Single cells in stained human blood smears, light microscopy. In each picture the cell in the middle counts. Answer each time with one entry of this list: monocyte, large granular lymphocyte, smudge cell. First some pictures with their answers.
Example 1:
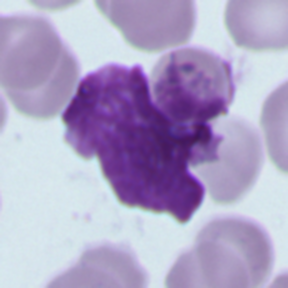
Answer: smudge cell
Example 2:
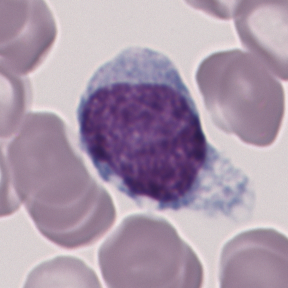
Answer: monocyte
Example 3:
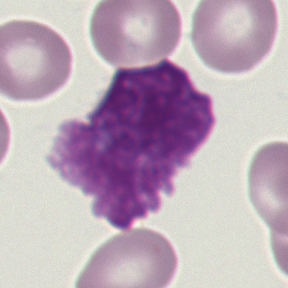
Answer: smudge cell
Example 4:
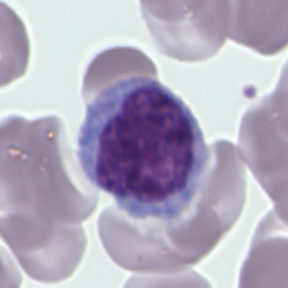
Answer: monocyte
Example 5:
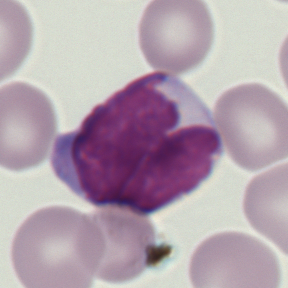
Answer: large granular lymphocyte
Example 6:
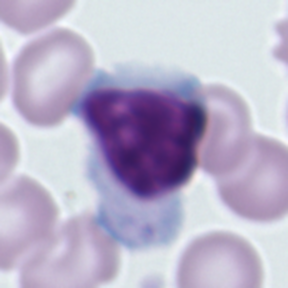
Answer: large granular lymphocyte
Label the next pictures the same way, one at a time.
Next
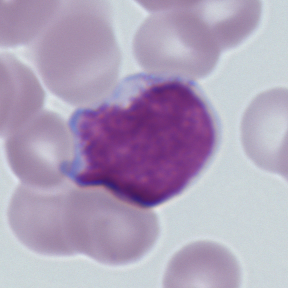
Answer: large granular lymphocyte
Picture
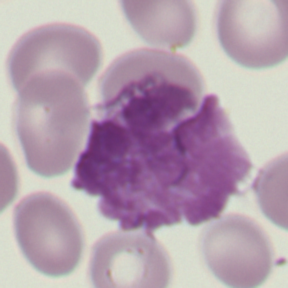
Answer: smudge cell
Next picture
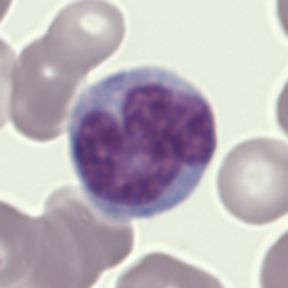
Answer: monocyte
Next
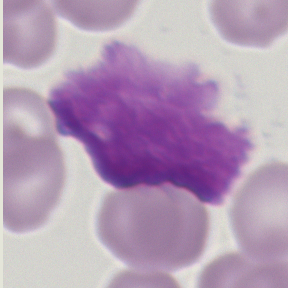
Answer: smudge cell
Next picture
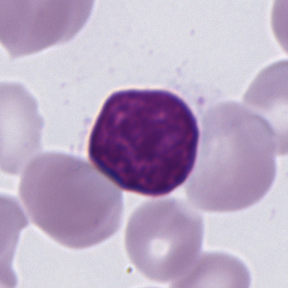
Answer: smudge cell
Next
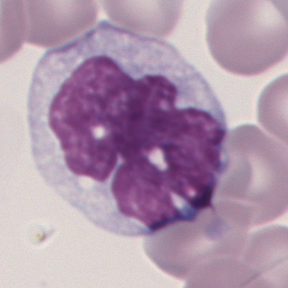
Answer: monocyte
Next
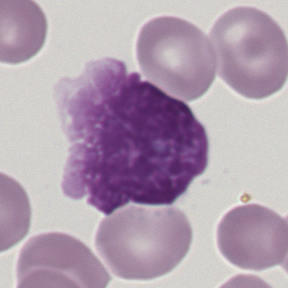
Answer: smudge cell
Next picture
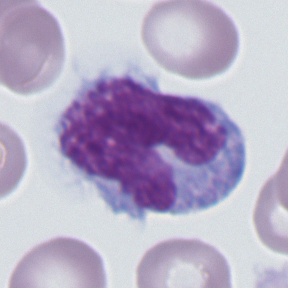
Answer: monocyte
